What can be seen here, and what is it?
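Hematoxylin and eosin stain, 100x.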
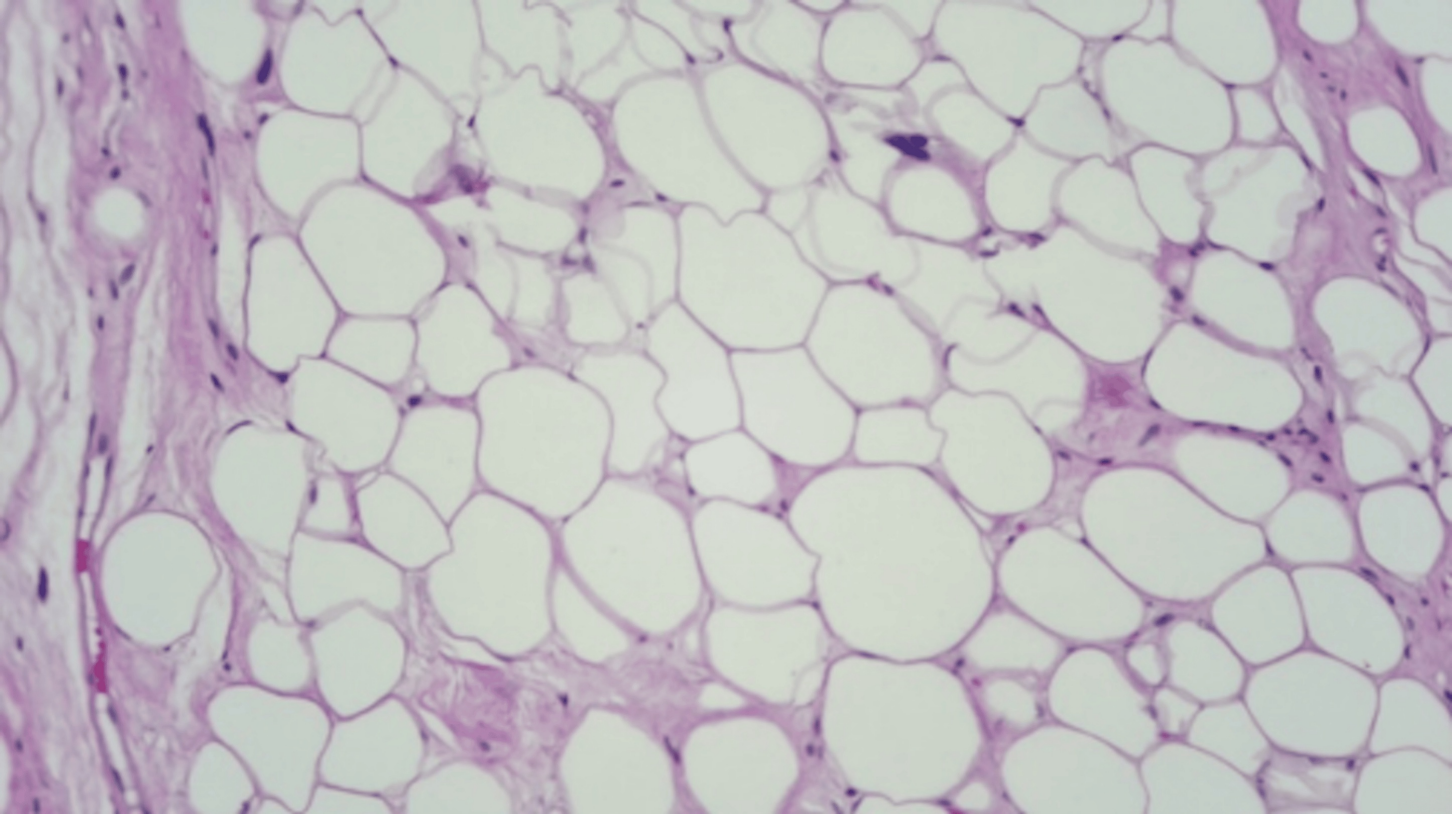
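This is a fatty tumour made of adipocytes that look mature but are of markedly unequal size, seen as clear, empty rounded vacuoles outlined by thin pink membranes. Their nuclei are mostly small, flat and pressed to the rim of the vacuoles. Pale pink fibrous strands with slender spindle nuclei run between groups of fat cells and form a broader band at the left edge, where a small vessel with red blood cells lies. Near the top centre a single enlarged, irregular and darkly stained nucleus stands out among the fat cells.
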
